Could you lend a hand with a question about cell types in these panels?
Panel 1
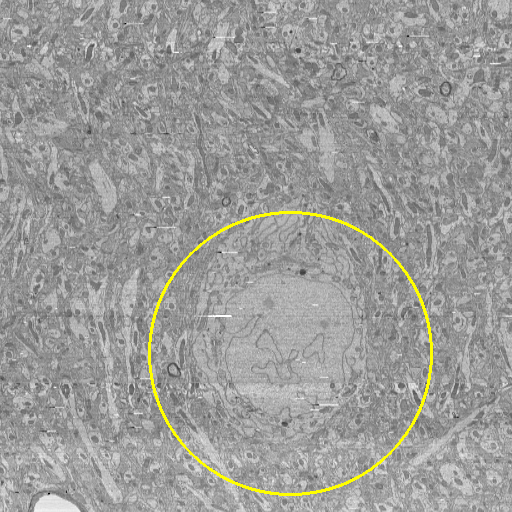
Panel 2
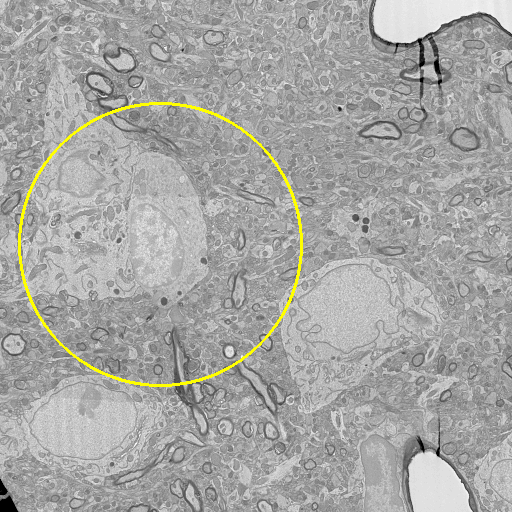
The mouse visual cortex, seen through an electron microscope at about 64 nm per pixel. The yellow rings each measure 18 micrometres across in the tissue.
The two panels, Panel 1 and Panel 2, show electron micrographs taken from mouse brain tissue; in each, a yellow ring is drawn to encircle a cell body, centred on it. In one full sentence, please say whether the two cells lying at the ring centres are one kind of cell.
No, the cells at the ring centres in the two panels are two kinds of cell.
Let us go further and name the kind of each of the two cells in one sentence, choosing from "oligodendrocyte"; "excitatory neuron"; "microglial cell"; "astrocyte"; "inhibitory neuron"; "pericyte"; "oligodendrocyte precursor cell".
The ring of the first picture is on an inhibitory neuron, the ring of the second on an oligodendrocyte.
